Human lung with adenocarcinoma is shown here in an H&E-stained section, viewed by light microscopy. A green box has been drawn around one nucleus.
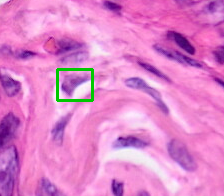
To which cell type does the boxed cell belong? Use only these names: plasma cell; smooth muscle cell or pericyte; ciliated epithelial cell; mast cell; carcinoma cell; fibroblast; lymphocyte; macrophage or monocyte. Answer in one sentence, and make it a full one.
The classification of the boxed cell is as a fibroblast.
